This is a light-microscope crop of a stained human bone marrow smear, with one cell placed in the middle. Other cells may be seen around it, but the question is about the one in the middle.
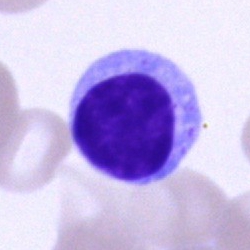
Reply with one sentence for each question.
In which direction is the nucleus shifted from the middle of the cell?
The nucleus is pushed toward the lower left of the cell.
